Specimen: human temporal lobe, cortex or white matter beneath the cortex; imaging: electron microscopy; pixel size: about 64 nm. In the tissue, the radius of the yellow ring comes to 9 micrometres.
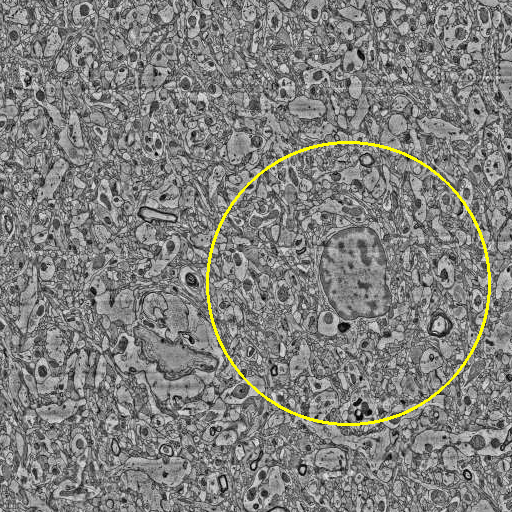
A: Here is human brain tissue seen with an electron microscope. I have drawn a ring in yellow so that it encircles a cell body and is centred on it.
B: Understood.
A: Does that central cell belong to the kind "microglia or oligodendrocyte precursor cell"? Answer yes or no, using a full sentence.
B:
Yes, the central cell inside your yellow ring belongs to that kind.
